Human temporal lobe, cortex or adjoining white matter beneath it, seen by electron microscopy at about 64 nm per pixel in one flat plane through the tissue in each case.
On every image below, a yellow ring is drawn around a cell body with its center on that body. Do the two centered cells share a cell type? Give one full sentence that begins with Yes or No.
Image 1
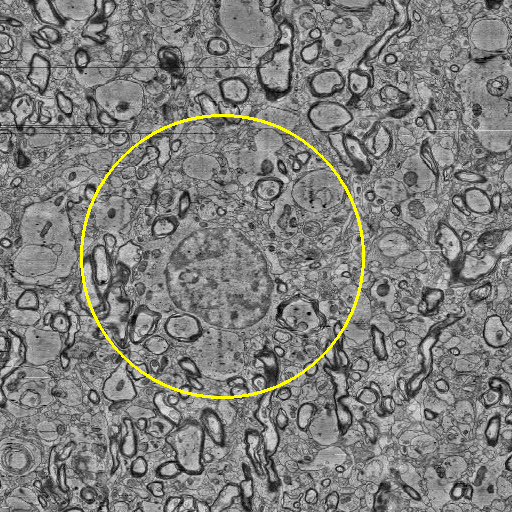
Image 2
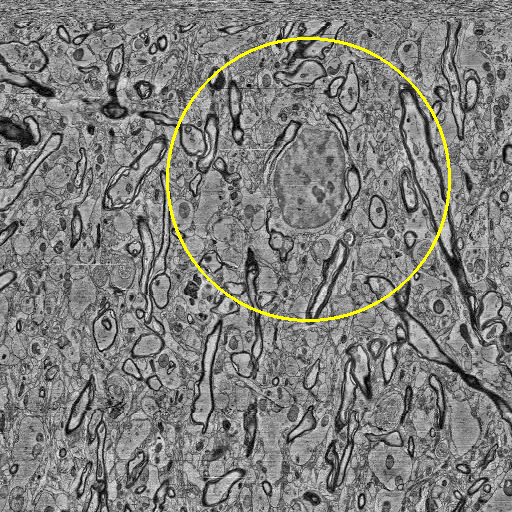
Yes, the centered cells in the two images are of a single cell type.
